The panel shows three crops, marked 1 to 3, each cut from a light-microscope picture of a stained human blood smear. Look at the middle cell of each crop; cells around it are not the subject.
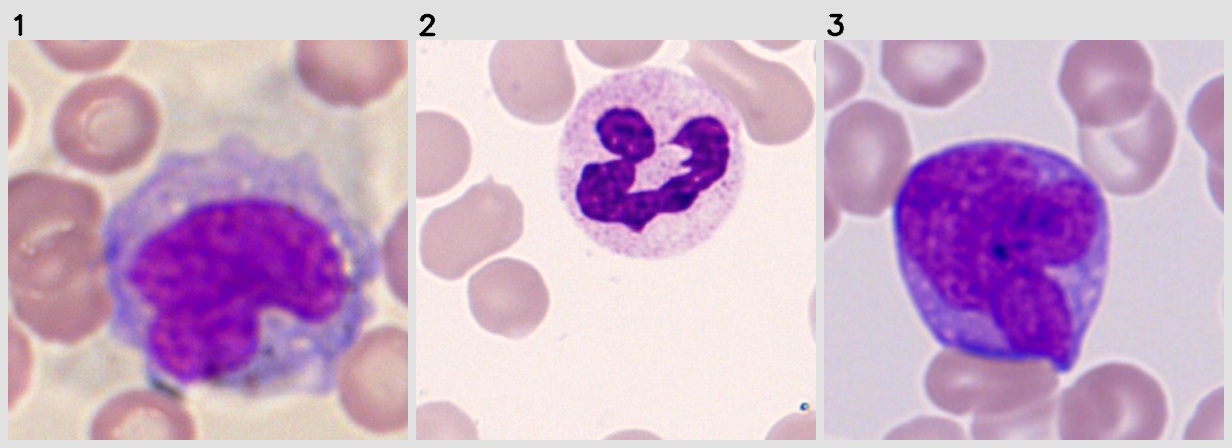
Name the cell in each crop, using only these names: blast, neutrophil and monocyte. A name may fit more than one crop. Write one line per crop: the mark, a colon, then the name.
1: monocyte
2: neutrophil
3: blast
